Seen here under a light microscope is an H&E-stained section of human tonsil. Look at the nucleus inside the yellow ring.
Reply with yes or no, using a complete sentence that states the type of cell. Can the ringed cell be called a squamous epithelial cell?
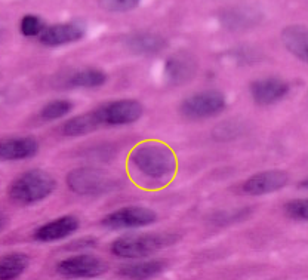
Yes, the ringed cell has been identified as a squamous epithelial cell.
